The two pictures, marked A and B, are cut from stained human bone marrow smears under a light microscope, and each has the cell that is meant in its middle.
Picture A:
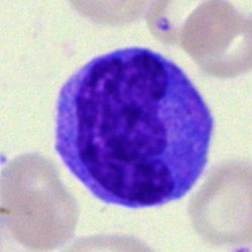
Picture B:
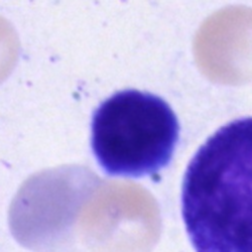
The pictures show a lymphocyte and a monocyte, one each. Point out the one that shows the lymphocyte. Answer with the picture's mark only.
B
